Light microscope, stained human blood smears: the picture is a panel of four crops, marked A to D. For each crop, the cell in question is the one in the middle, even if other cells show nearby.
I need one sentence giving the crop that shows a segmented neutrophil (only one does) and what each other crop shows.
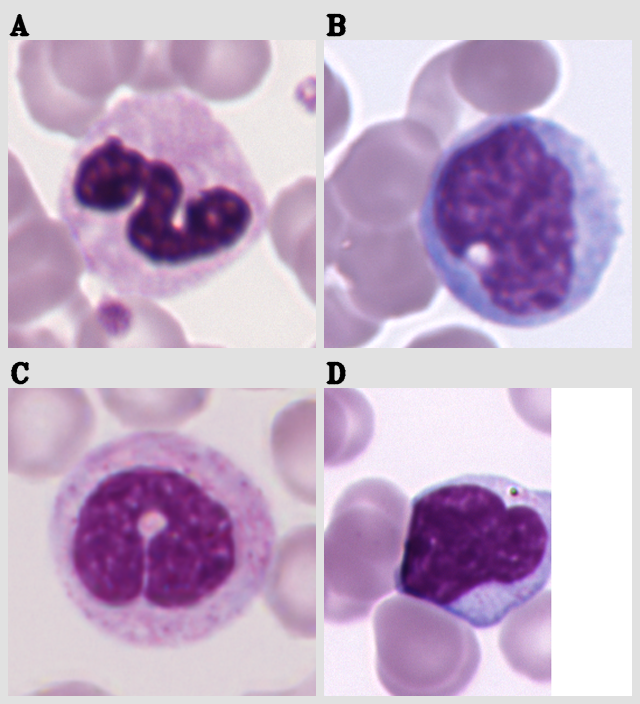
The central cell of crop A is identified as a segmented neutrophil, while crop B is a monocyte, crop C is a band neutrophil and crop D is a large granular lymphocyte.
